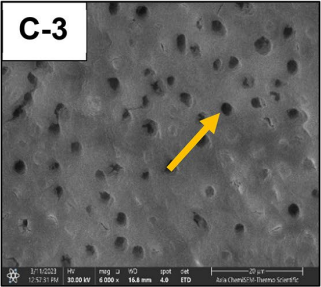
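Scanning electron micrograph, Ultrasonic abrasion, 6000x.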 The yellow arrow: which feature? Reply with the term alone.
Patent dentin tubules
